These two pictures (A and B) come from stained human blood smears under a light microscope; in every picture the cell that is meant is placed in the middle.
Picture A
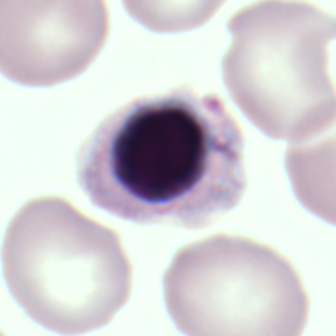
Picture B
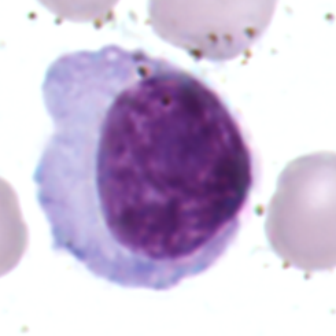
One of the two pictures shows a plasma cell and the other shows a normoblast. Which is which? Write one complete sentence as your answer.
Picture B shows a plasma cell, while picture A shows a normoblast.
